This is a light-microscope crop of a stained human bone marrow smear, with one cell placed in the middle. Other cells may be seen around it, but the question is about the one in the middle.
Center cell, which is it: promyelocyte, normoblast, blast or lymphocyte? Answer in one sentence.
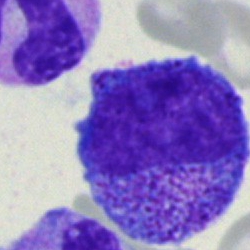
In the center of this field lies a promyelocyte.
